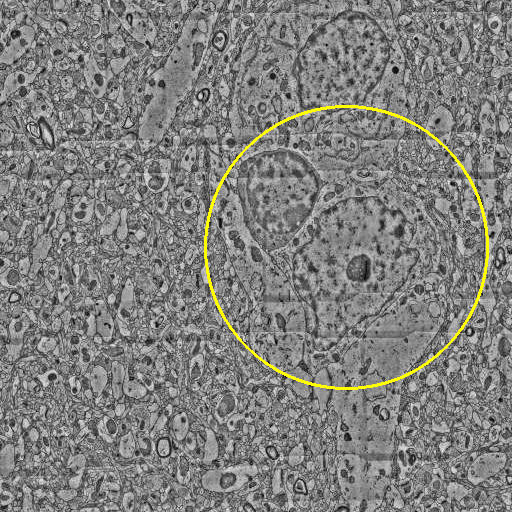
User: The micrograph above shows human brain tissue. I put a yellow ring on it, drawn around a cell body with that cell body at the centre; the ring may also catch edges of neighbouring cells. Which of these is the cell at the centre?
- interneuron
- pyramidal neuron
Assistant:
interneuron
